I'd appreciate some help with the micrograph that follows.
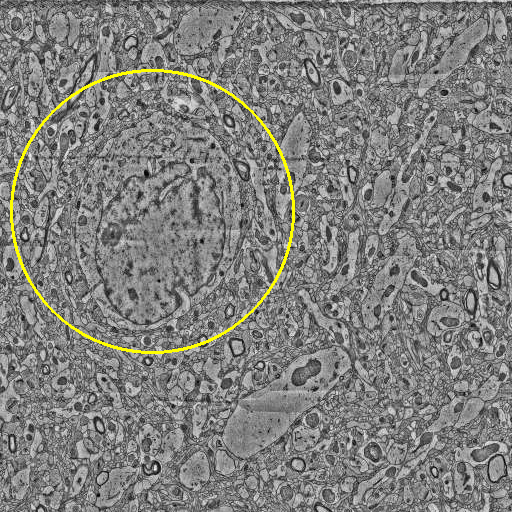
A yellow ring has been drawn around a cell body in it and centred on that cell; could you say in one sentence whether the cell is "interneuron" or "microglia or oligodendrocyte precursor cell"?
It is an interneuron at the centre of the ring.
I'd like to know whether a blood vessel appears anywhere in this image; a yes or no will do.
No, there is no blood vessel.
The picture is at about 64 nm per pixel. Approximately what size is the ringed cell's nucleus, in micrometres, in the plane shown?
Roughly 11 by 8 micrometres is the size of the nucleus in this plane.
